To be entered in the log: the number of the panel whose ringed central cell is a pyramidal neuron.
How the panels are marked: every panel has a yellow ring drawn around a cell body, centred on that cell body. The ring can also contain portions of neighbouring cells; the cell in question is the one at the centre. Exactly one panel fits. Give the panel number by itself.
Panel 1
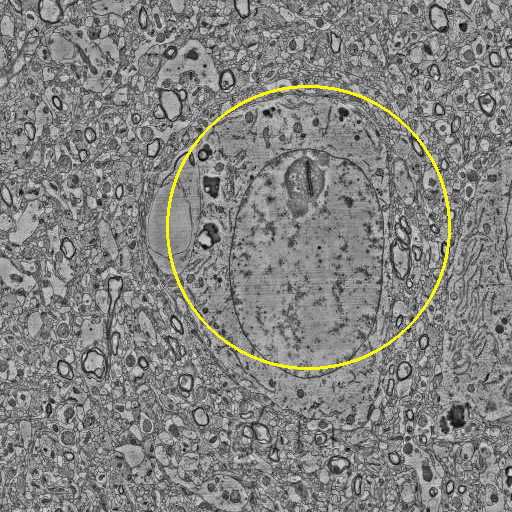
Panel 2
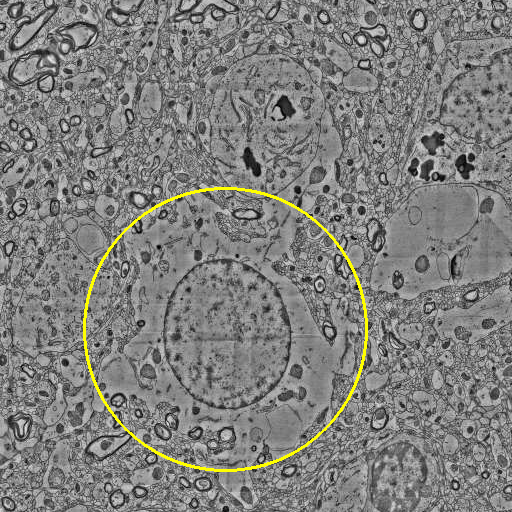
1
